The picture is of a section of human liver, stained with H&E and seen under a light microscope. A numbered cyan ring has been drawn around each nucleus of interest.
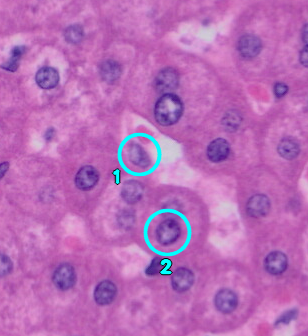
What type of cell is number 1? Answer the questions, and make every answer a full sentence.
The nucleus labeled 1 belongs to a Kupffer cell.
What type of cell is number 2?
Cell 2 in the field is a hepatocyte.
